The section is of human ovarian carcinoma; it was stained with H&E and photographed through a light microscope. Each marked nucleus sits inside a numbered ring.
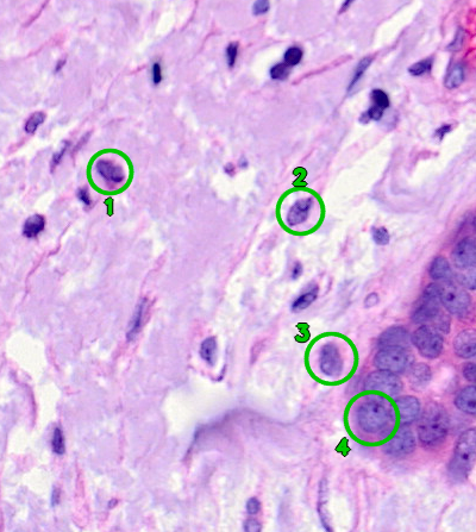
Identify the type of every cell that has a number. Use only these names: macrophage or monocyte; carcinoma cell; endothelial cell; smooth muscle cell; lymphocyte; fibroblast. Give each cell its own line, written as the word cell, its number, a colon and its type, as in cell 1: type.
cell 1: macrophage or monocyte
cell 2: macrophage or monocyte
cell 3: macrophage or monocyte
cell 4: carcinoma cell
